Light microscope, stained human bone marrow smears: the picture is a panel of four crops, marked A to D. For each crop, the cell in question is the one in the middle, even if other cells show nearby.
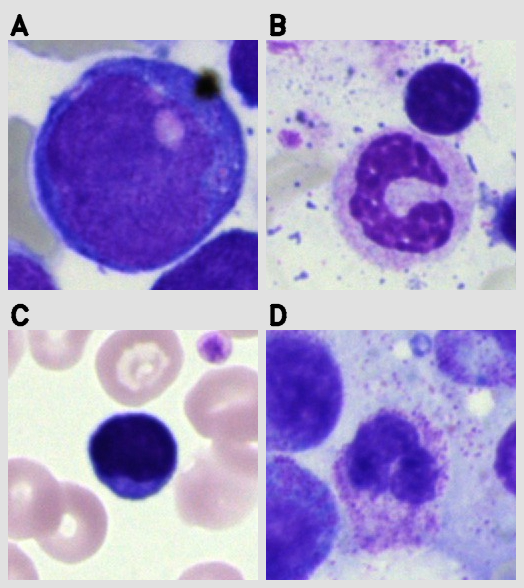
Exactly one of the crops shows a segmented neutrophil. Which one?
D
